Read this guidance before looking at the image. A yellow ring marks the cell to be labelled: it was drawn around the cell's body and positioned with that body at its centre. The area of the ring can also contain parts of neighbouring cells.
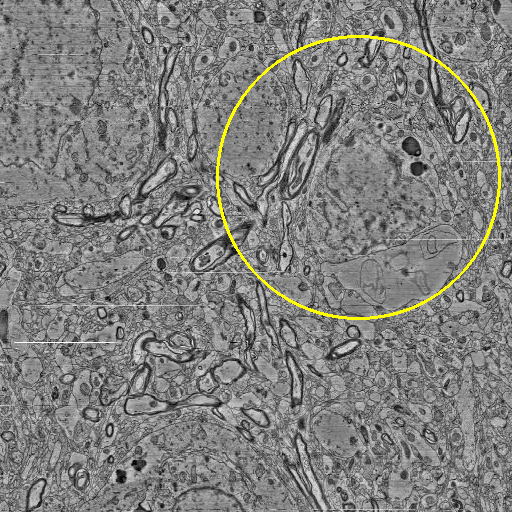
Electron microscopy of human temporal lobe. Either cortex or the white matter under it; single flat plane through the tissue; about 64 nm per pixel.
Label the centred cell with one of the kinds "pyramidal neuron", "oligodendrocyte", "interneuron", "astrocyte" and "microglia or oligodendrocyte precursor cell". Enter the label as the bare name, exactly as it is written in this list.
interneuron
